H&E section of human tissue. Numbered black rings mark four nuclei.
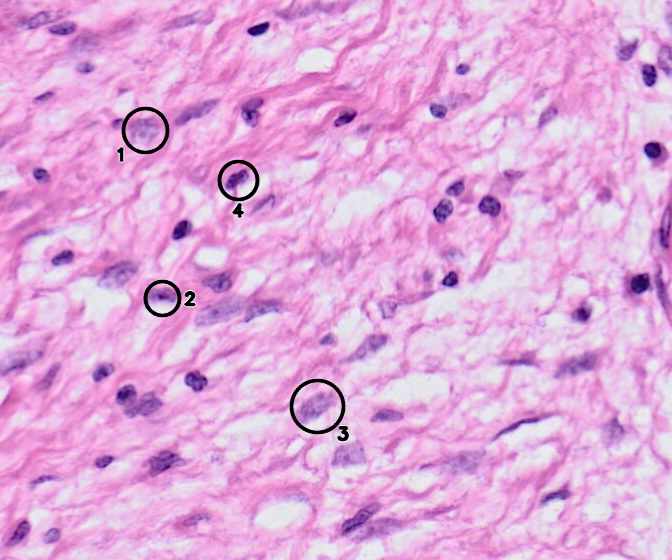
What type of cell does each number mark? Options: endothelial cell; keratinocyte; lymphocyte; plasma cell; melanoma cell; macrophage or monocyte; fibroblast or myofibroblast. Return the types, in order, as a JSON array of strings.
["fibroblast or myofibroblast", "fibroblast or myofibroblast", "fibroblast or myofibroblast", "lymphocyte"]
